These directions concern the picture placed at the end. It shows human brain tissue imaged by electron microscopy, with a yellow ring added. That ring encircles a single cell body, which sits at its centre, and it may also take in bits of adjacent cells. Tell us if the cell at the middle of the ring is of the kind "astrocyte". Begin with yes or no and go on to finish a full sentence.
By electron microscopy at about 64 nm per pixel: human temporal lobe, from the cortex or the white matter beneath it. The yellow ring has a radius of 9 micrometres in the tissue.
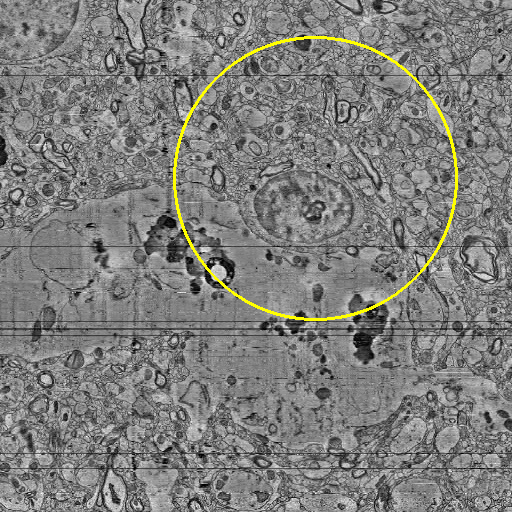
No, the cell sitting at the centre of the yellow ring in the picture belongs to another kind.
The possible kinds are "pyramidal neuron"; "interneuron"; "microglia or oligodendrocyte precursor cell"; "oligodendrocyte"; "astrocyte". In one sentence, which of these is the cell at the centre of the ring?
What the ring encloses here is an oligodendrocyte.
